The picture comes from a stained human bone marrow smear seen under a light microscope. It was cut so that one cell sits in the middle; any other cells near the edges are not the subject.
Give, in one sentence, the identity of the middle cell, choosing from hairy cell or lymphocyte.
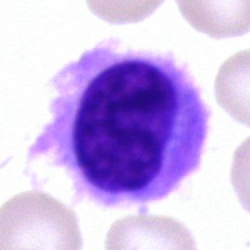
The center cell of this crop is a hairy cell.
